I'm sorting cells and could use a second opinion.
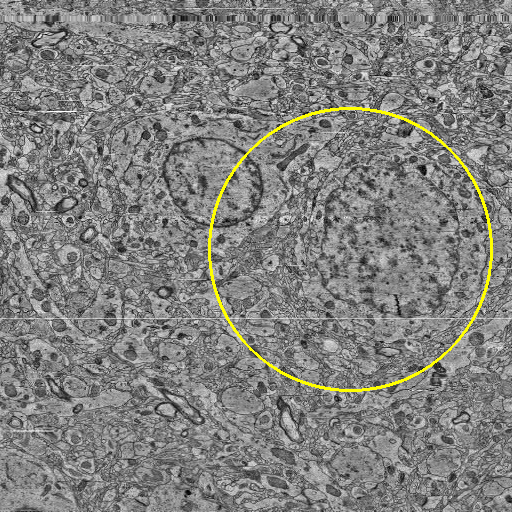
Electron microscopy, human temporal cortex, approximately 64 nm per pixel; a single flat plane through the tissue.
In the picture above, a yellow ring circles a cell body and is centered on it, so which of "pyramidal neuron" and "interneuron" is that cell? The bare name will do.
interneuron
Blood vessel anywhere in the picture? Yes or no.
No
